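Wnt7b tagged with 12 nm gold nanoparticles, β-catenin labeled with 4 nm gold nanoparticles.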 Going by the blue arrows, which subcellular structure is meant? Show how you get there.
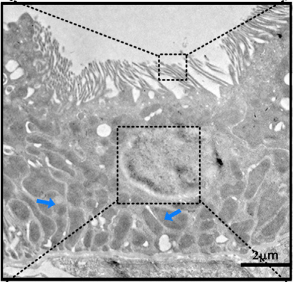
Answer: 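Mitochondria. The arrows point at elongated electron-dense organelles in the basal cytoplasm. Many such elongated organelles are packed side by side below the nucleus.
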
